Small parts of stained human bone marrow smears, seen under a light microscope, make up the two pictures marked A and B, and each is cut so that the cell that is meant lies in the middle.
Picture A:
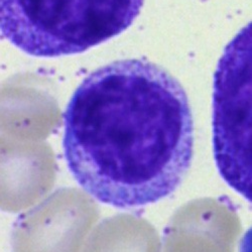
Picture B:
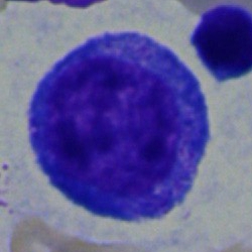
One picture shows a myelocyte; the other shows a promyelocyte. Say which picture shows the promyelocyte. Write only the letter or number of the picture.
B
